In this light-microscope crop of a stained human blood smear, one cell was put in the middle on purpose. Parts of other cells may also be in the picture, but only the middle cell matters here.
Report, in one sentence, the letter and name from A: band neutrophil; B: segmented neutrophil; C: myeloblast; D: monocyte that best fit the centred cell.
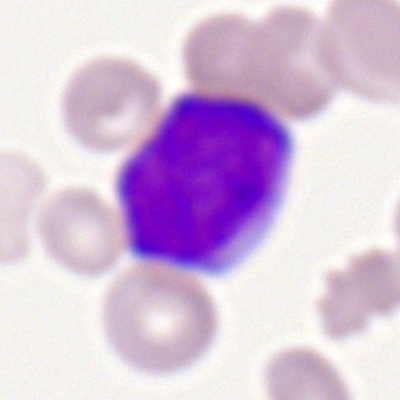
In the middle of the crop is a myeloblast; option C is therefore correct.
